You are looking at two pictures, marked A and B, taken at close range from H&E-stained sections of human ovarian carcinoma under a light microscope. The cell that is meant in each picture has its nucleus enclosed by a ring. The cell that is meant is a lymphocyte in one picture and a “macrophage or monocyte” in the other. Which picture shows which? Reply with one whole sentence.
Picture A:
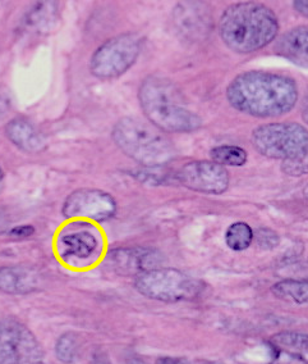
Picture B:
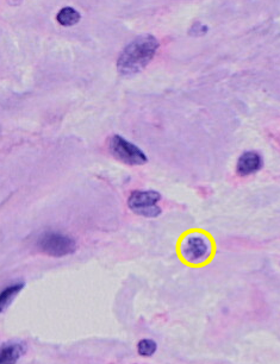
The cell in picture A is a “macrophage or monocyte”, and the one in picture B is a lymphocyte.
